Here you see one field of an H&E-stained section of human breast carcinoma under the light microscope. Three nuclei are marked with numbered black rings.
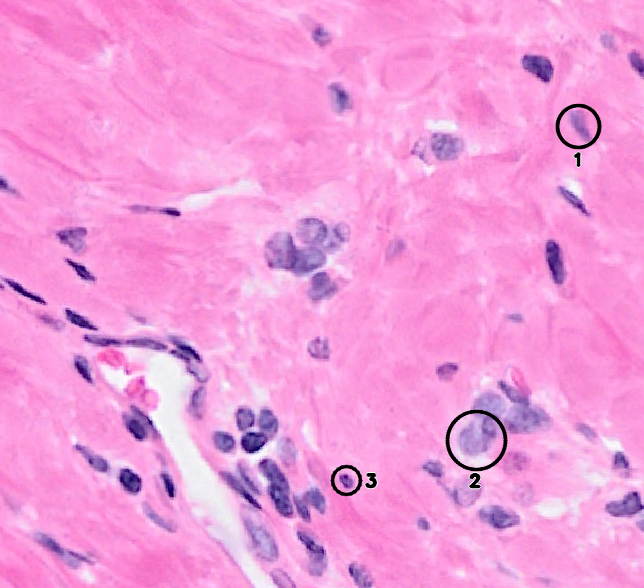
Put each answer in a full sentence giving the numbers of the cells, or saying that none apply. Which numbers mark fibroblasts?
Whereas cell 1 is a fibroblast, the other numbered cells are not.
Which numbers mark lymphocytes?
Only the cell numbered 3 is a lymphocyte; none of the others is.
